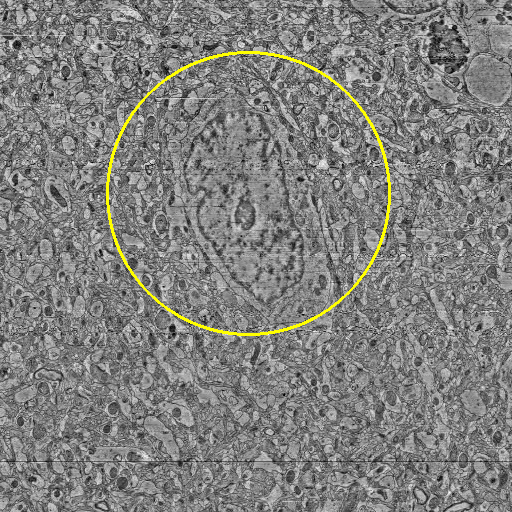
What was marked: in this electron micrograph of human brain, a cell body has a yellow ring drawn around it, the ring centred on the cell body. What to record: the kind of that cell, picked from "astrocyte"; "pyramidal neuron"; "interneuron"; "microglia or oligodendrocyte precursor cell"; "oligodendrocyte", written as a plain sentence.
The centred cell is an interneuron.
